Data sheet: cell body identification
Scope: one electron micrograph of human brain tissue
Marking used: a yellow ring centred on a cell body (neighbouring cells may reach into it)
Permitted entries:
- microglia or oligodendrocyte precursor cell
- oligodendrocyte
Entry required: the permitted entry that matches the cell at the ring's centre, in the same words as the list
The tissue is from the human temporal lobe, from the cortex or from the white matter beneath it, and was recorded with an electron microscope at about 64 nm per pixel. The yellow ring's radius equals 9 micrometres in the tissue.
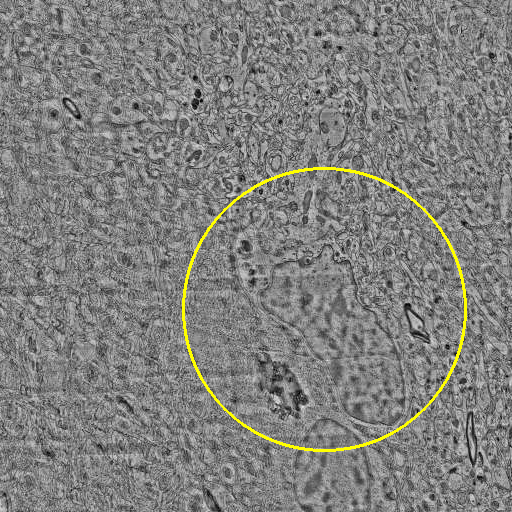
microglia or oligodendrocyte precursor cell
